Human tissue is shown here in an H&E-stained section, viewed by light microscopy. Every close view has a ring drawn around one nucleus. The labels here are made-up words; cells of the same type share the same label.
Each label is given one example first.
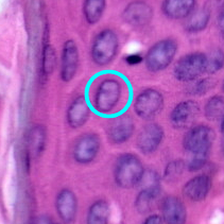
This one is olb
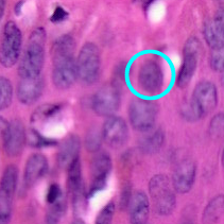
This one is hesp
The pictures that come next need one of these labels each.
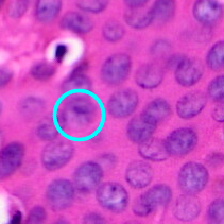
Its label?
olb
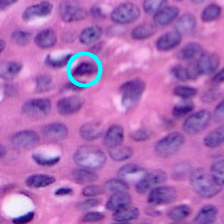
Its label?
hesp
